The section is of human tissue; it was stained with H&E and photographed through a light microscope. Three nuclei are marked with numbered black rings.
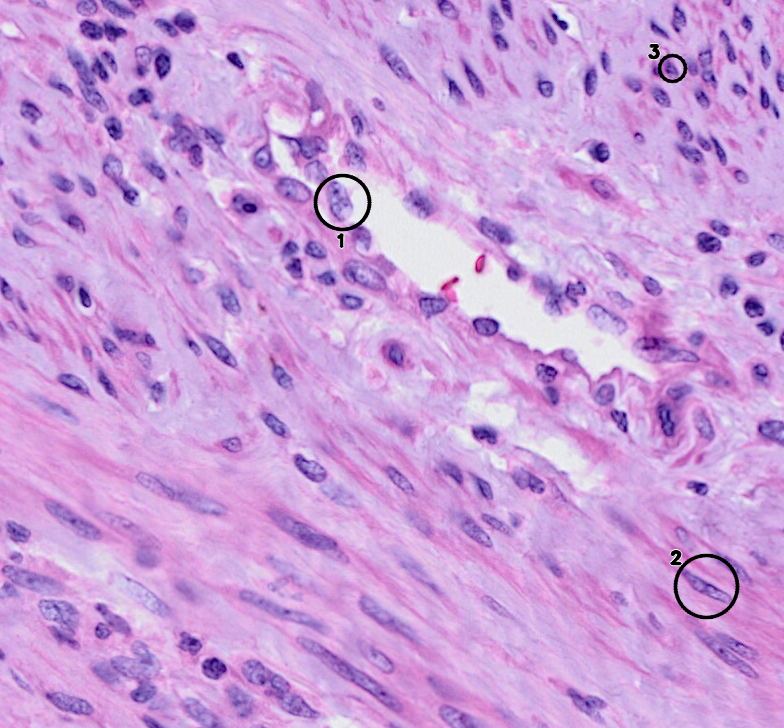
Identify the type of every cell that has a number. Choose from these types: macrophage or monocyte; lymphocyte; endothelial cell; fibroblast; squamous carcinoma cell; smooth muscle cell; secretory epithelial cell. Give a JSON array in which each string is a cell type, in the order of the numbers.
["endothelial cell", "smooth muscle cell", "smooth muscle cell"]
